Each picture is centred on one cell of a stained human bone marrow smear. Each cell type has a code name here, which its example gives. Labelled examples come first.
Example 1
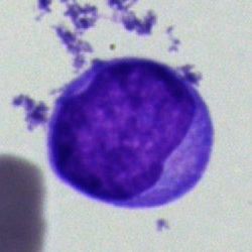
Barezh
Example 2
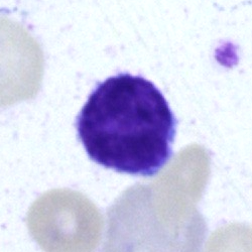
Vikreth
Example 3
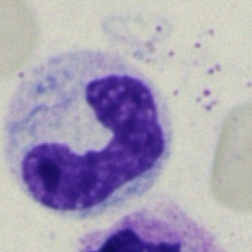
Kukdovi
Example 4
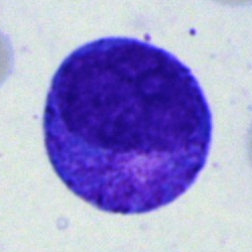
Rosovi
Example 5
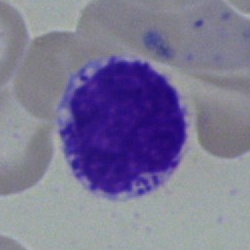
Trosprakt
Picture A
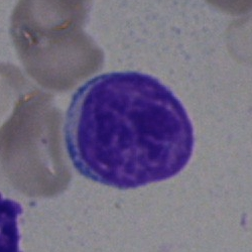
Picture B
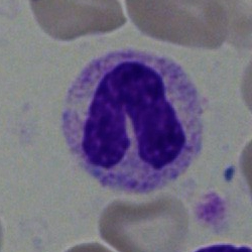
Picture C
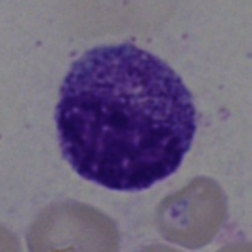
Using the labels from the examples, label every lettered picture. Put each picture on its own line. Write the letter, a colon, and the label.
A: Vikreth
B: Kukdovi
C: Trosprakt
